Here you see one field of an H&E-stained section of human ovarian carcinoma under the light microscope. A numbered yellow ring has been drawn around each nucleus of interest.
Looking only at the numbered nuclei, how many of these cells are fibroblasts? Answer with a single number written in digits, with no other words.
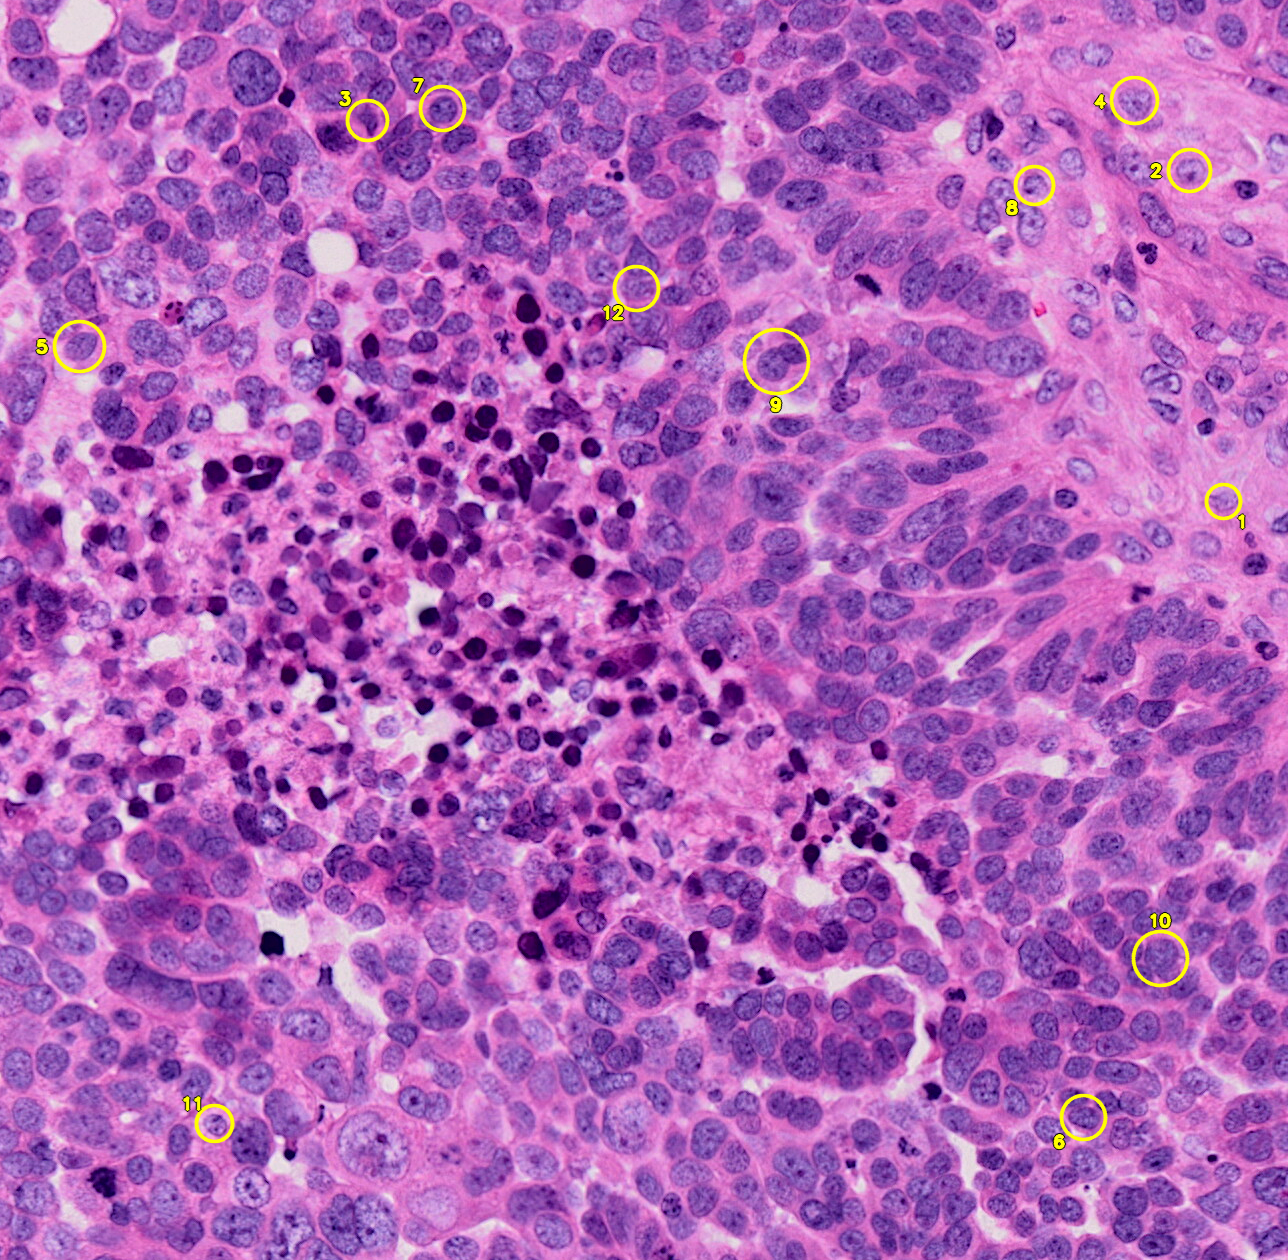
4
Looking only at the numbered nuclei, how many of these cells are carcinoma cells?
7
